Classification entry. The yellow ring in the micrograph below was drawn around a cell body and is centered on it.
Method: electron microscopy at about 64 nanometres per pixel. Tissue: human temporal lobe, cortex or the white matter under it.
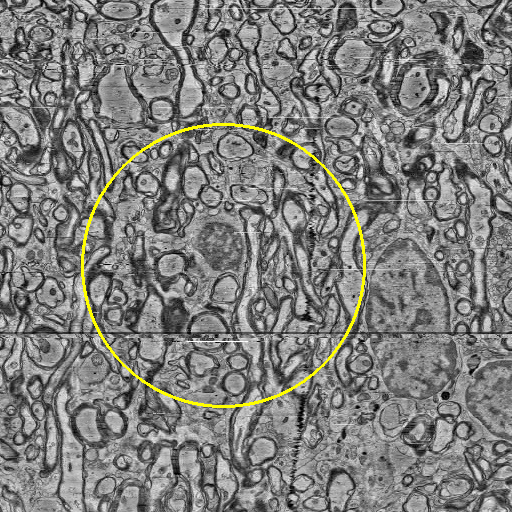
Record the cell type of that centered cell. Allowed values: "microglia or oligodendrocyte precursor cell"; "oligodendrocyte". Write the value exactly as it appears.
oligodendrocyte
